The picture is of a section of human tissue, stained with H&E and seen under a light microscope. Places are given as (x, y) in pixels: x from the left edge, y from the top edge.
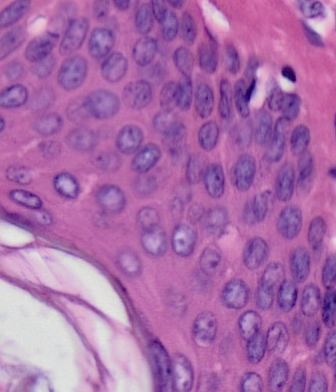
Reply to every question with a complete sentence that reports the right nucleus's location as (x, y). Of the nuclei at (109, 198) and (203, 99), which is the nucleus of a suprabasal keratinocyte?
The nucleus at (109, 198) is part of a suprabasal keratinocyte, while the other is not.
